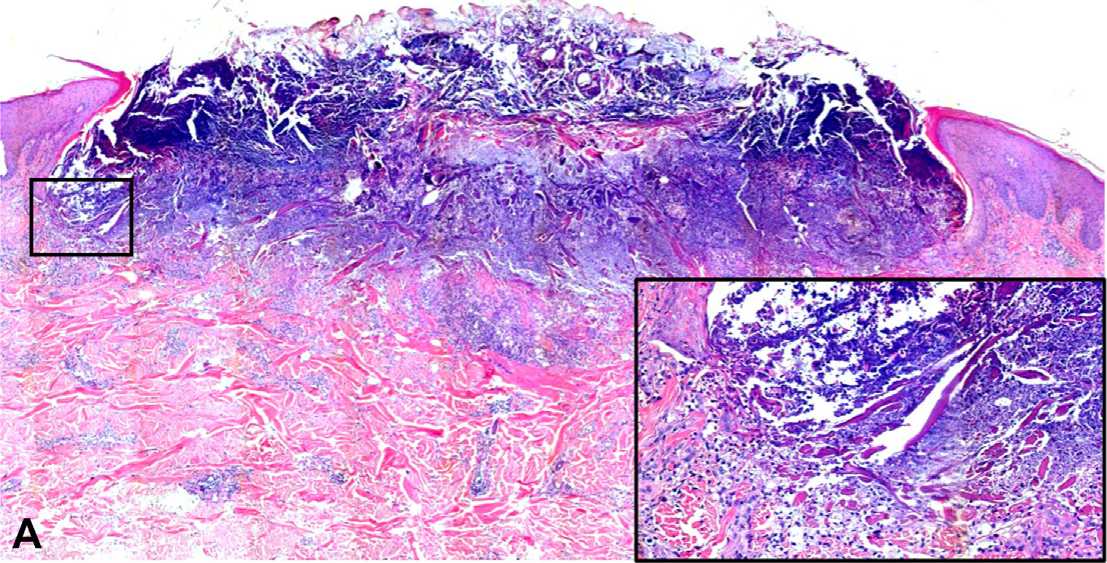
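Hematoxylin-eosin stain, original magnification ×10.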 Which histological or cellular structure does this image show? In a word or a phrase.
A: Vertically orientated collagenous fibers.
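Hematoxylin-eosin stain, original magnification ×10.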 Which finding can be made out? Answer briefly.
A: Cup-shaped epidermal depression with a central crater.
